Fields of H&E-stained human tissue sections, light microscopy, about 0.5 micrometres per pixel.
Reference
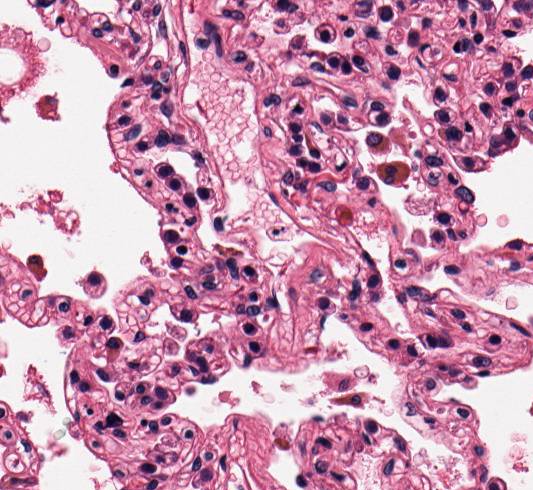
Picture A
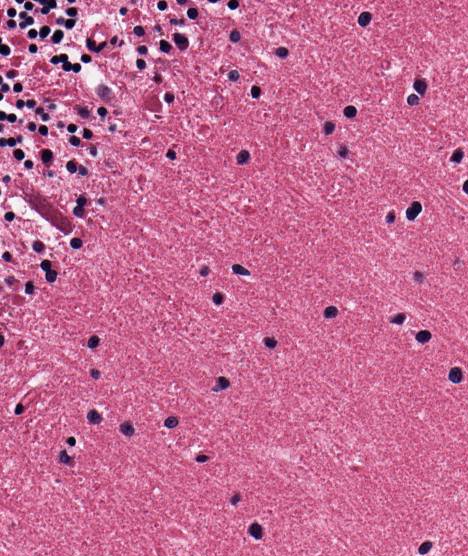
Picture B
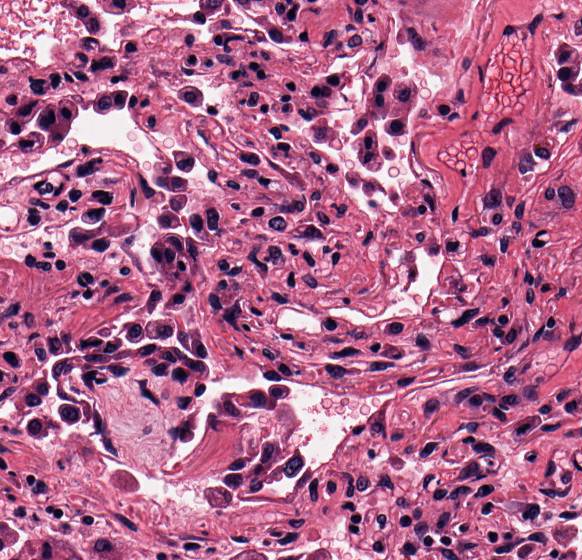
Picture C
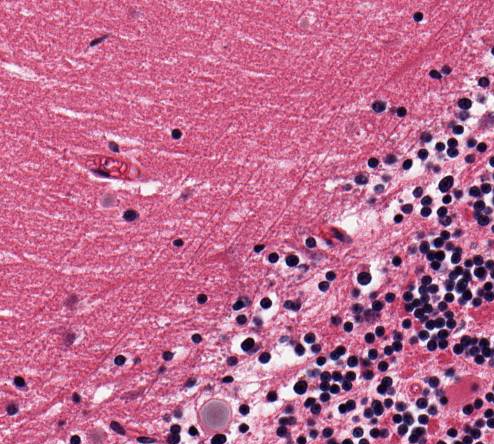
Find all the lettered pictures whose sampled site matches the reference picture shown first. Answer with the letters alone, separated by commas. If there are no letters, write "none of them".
B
